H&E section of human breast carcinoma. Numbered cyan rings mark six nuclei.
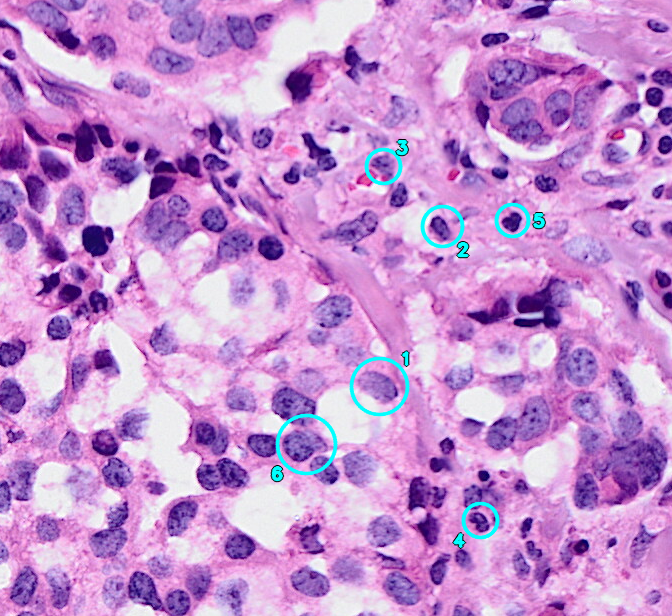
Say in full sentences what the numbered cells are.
Cells 1 and 6 are carcinoma cells. Cell 2 is a mast cell. Cell 3 is an endothelial cell. Cells 4 and 5 are lymphocytes.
